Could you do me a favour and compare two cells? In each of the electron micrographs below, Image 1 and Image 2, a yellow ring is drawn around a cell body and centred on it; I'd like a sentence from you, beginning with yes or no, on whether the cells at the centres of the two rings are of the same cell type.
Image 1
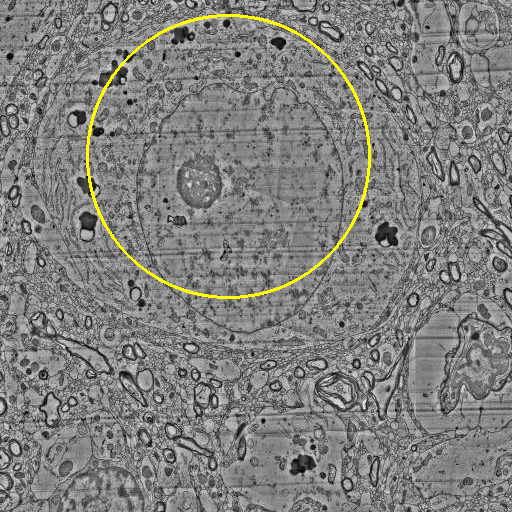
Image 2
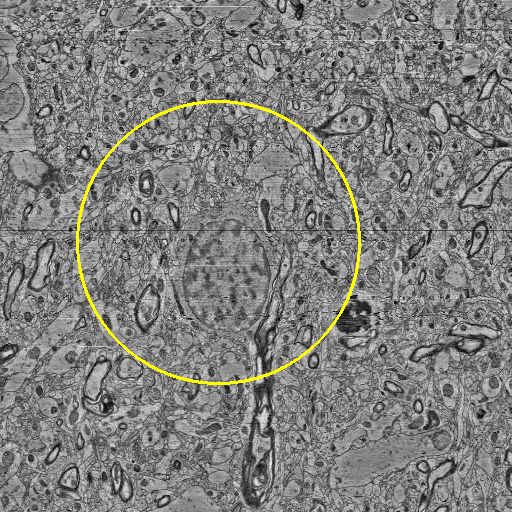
No, the two cells are of two cell types.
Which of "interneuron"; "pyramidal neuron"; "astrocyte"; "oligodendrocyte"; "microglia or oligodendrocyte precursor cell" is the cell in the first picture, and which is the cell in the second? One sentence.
The two differ: the first cell is a pyramidal neuron and the second is an oligodendrocyte.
